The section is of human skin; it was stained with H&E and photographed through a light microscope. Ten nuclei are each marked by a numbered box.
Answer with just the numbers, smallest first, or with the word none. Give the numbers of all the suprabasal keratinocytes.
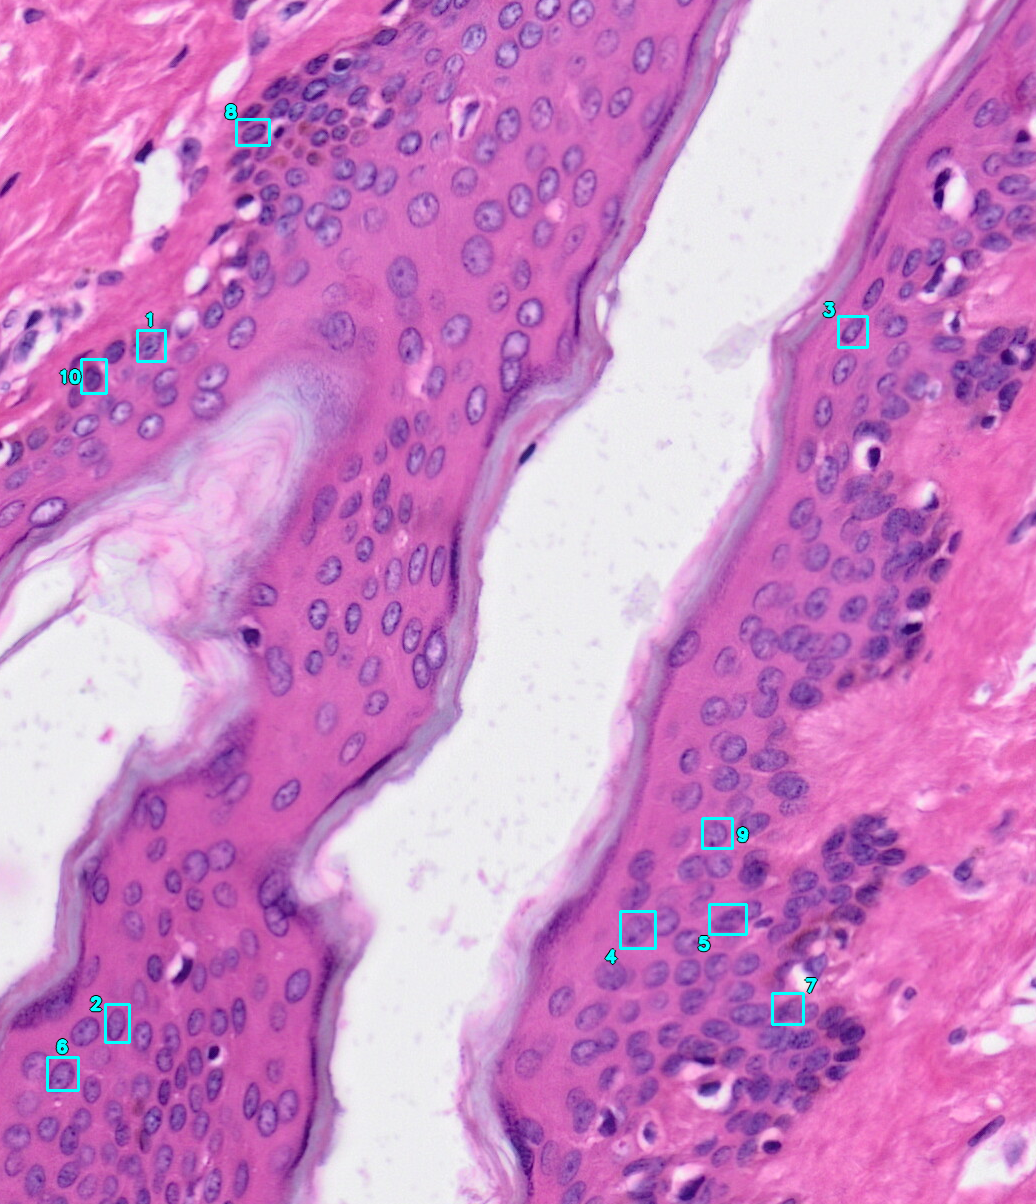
2, 3, 4, 5, 6, 9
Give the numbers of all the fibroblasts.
none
